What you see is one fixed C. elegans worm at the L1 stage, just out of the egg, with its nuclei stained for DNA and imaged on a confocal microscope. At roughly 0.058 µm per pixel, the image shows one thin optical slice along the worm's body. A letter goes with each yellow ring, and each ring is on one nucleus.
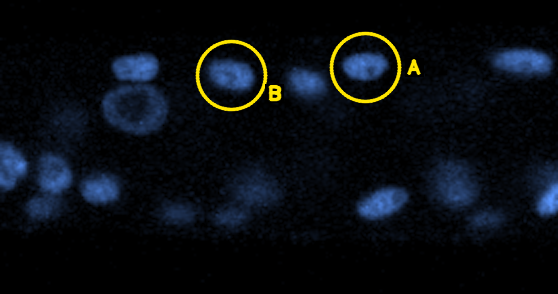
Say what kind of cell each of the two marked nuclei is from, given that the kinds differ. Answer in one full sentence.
A is the nucleus of a body wall muscle cell; B is the nucleus of a neuron.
